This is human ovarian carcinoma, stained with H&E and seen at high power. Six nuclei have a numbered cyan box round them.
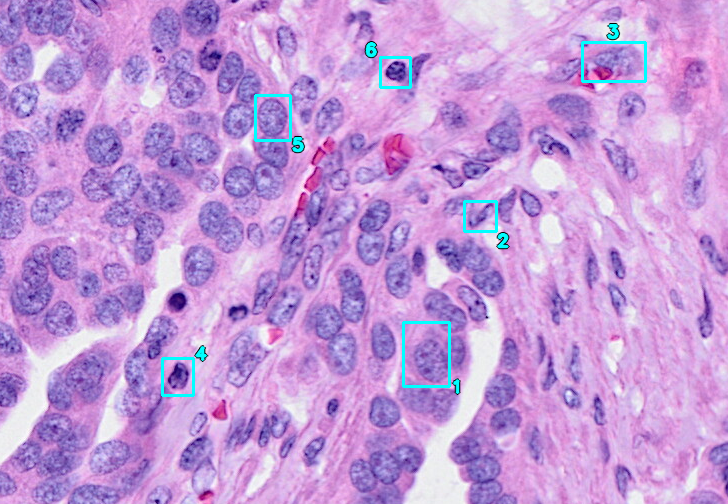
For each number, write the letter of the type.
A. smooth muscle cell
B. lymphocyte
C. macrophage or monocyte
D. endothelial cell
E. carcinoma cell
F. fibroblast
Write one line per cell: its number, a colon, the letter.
1: E
2: F
3: D
4: B
5: E
6: B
